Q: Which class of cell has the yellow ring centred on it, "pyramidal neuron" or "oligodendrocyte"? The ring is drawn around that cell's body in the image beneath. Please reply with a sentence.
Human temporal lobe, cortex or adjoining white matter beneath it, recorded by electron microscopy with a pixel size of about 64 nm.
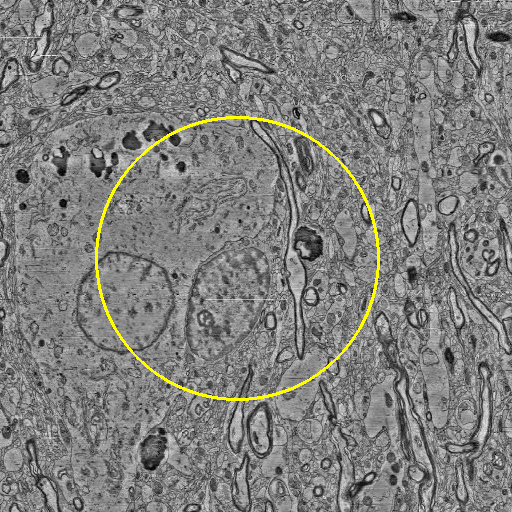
It is centred on an oligodendrocyte.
